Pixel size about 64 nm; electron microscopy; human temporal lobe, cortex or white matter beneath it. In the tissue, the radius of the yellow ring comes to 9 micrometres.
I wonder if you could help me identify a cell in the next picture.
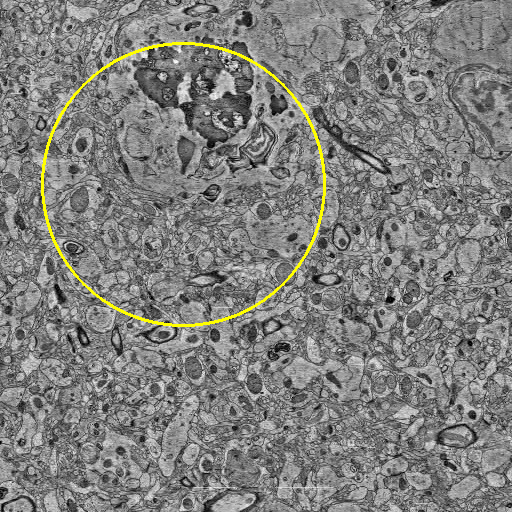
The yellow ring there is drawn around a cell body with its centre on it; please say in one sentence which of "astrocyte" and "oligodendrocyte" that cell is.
The yellow ring is centred on an astrocyte.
